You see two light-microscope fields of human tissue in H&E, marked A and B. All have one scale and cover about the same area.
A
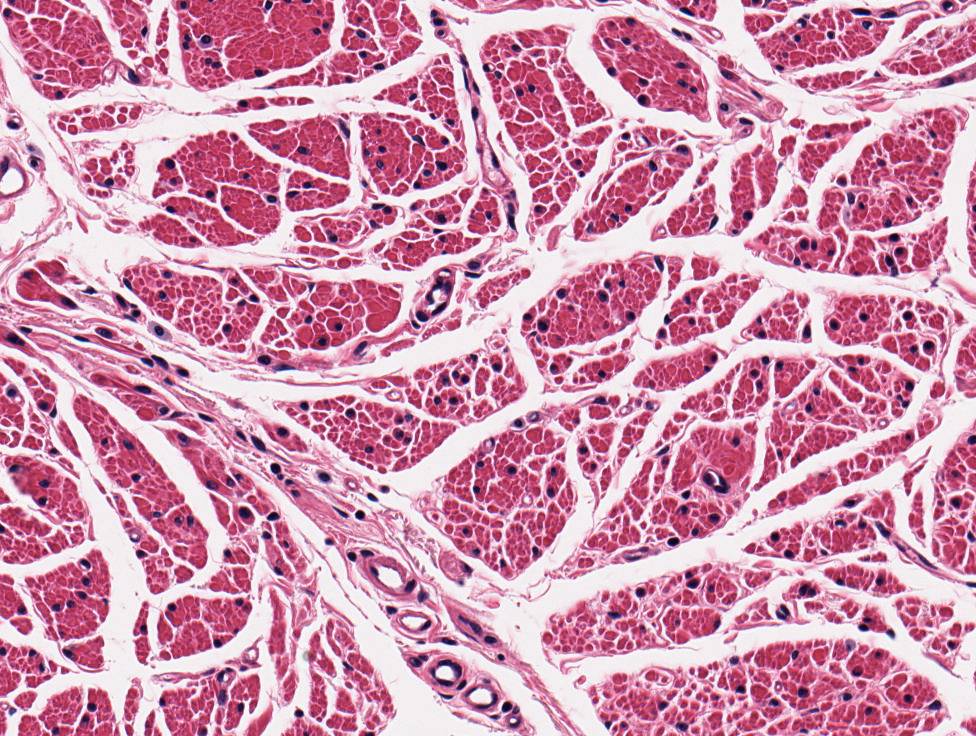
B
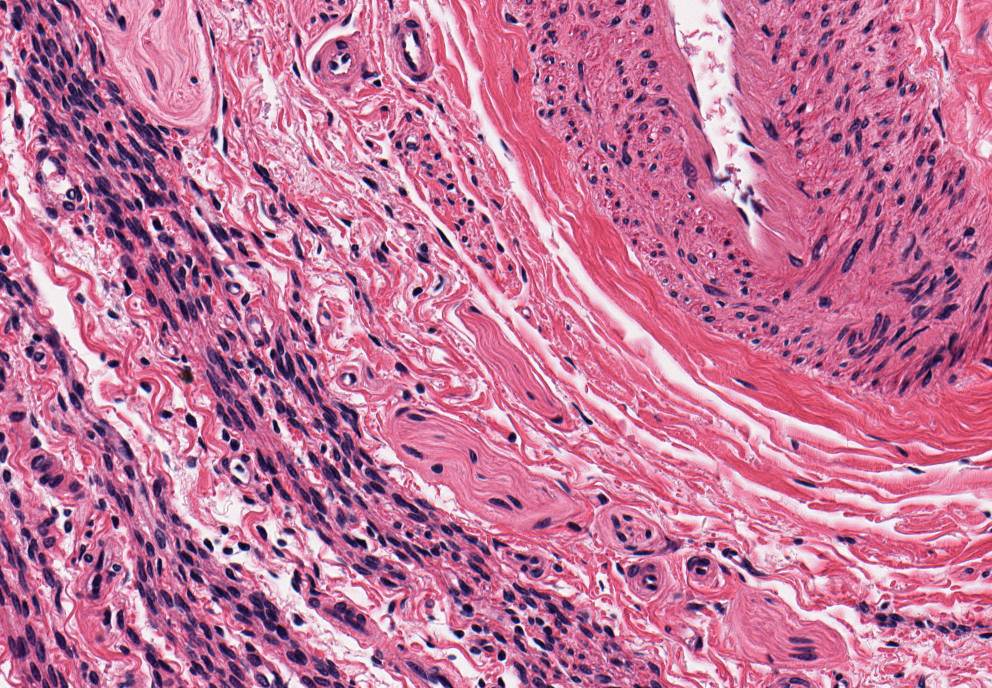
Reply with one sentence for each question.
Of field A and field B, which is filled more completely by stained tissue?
Field B has less white space.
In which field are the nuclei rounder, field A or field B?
It is field A whose nuclei are the rounder.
